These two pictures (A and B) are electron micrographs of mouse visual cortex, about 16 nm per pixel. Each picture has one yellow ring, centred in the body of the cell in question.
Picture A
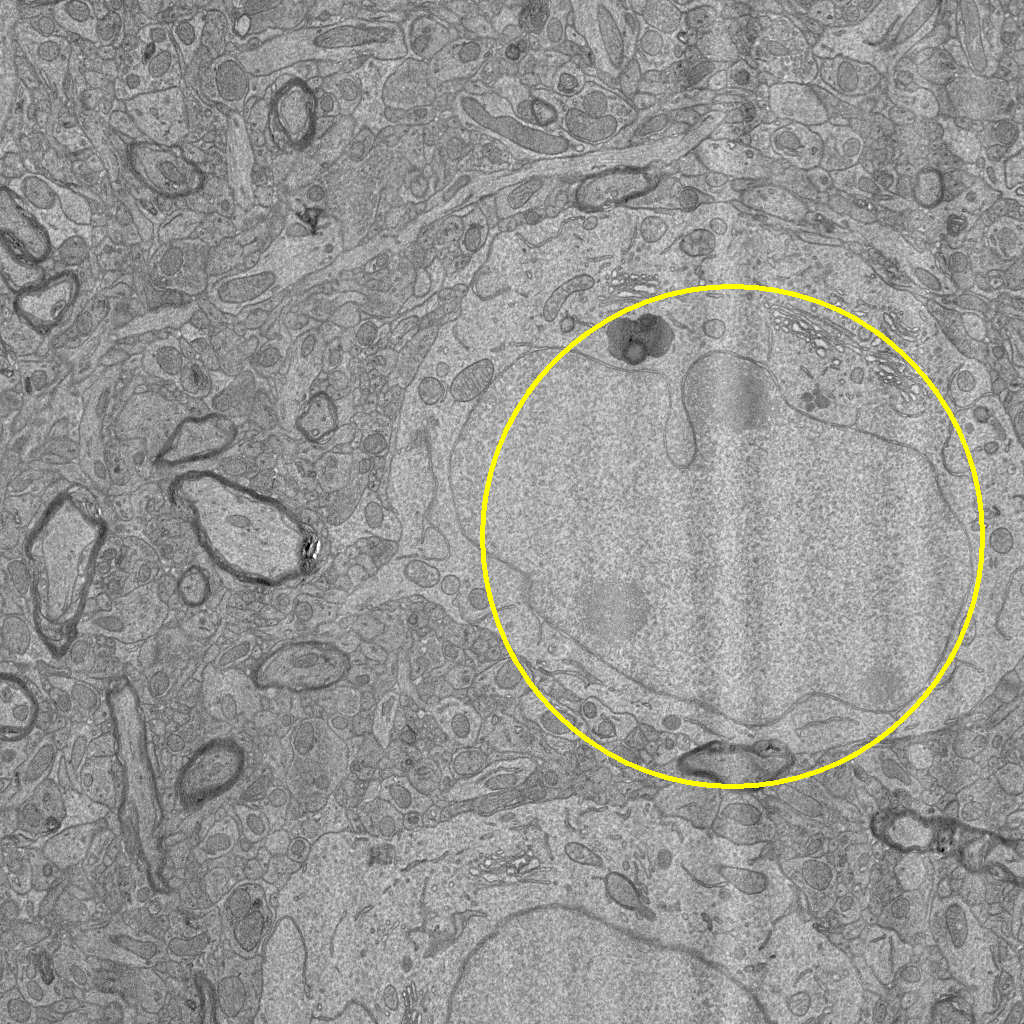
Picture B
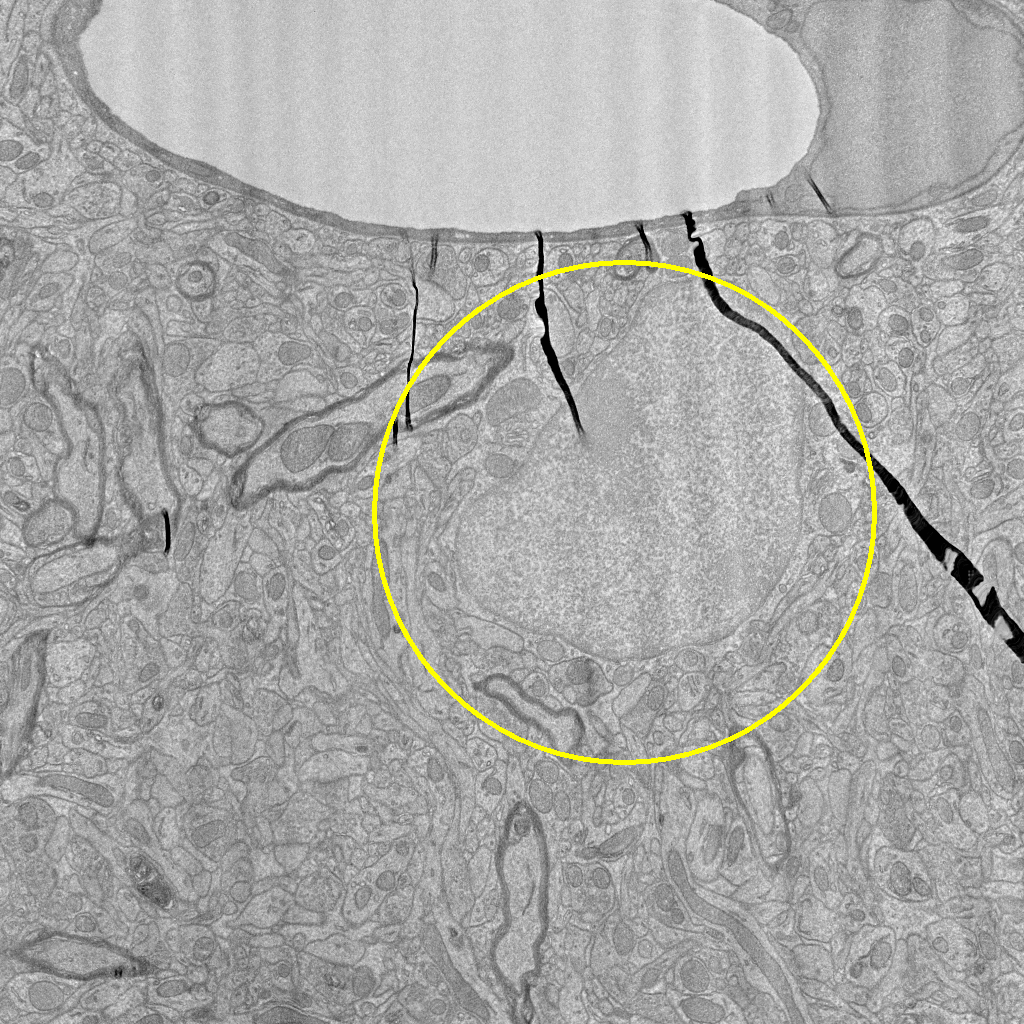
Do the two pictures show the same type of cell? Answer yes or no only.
no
